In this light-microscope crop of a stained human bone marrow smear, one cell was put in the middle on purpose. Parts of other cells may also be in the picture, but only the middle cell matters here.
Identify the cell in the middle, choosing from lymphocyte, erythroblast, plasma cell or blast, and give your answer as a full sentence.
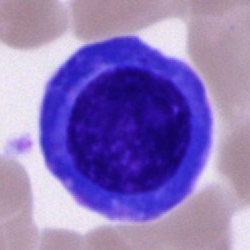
The cell occupying the middle of the crop is a plasma cell.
